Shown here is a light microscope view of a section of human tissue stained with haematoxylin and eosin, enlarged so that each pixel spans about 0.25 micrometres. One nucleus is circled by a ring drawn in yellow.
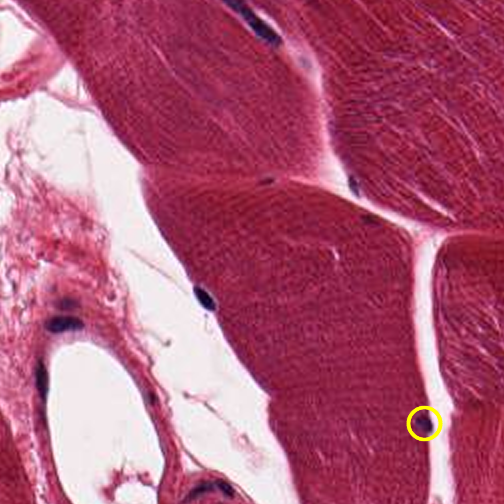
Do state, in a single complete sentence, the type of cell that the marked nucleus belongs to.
The nucleus carrying the mark is the nucleus of a skeletal muscle fibre.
